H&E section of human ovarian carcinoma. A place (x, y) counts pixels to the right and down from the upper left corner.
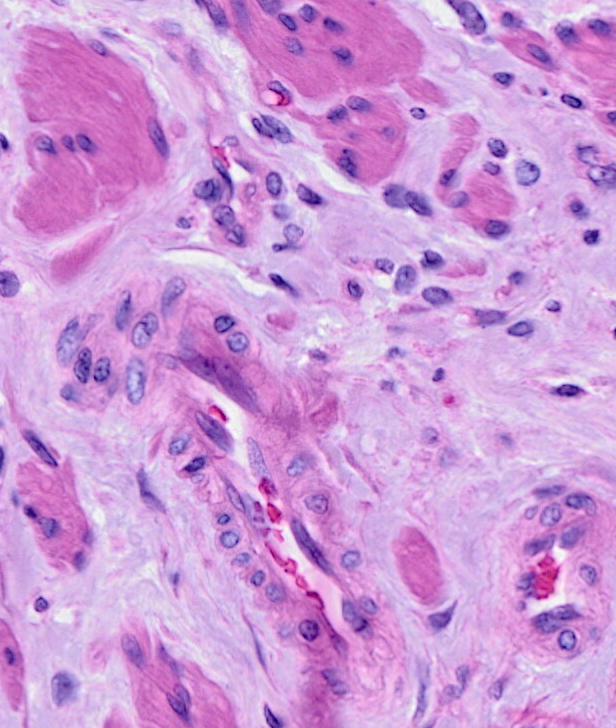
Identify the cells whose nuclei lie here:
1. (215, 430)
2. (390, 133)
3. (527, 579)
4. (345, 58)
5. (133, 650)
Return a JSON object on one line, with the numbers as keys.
{"1": "endothelial cell", "2": "smooth muscle cell", "3": "endothelial cell", "4": "smooth muscle cell", "5": "smooth muscle cell"}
